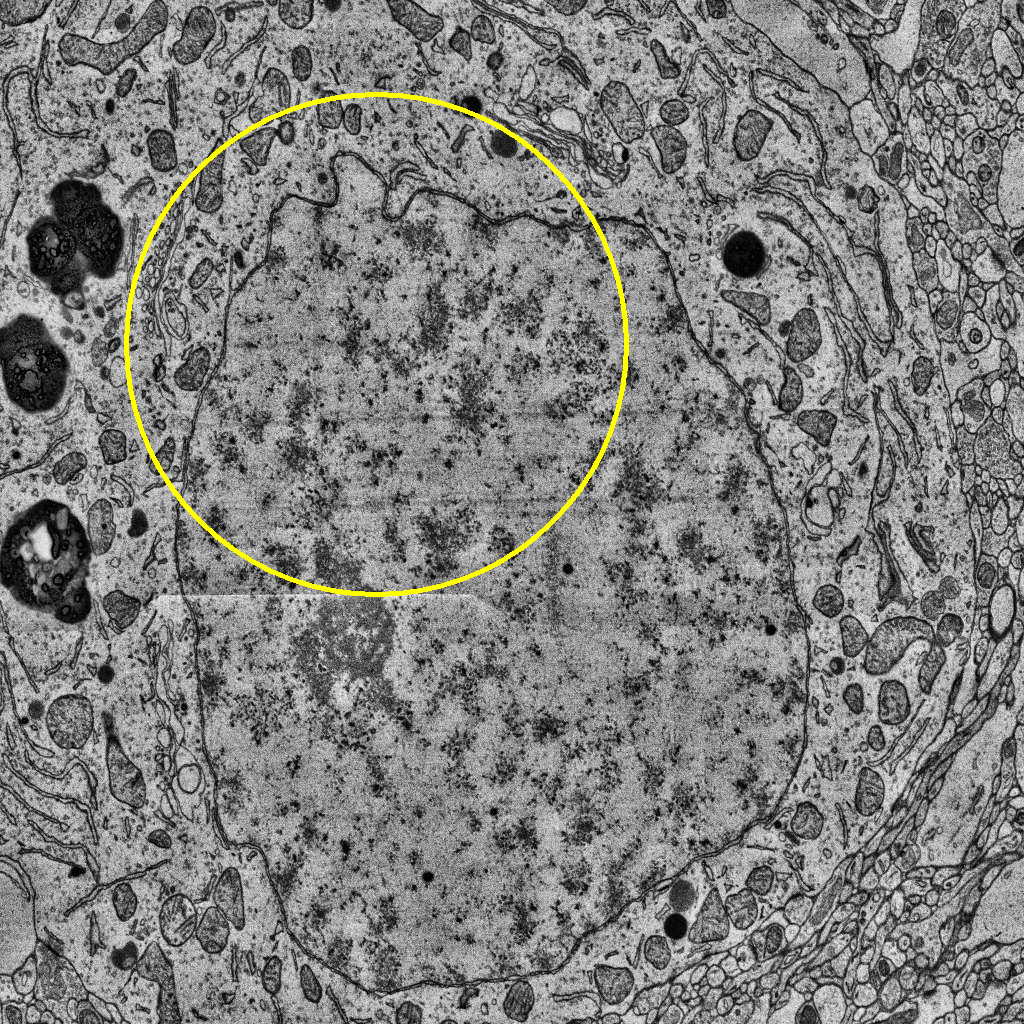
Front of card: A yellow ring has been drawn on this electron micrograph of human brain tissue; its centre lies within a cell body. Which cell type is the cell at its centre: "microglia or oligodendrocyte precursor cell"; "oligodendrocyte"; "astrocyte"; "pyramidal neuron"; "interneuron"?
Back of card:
interneuron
